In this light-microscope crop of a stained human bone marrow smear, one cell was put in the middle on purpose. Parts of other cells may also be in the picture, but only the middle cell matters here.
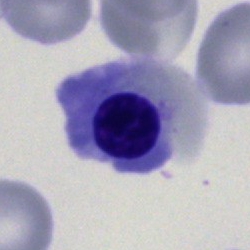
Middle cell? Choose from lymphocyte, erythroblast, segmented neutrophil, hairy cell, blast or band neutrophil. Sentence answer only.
The crop shows an erythroblast in its centre.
